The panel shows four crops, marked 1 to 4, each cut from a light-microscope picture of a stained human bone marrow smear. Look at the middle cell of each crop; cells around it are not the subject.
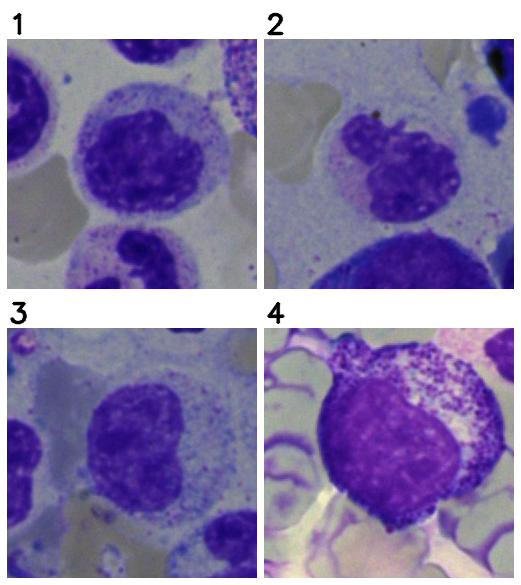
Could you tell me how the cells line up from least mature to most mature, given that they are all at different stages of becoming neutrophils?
4, 1, 3, 2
